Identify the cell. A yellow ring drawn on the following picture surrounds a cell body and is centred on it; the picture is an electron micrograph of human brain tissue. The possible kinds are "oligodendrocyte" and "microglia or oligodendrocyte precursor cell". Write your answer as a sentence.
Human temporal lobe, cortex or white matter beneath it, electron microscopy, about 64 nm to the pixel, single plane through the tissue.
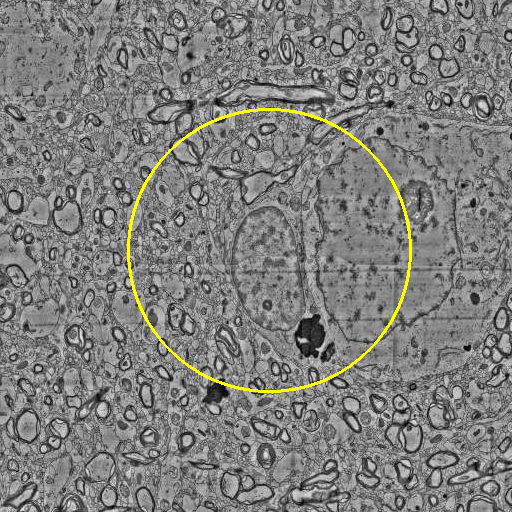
The cell identified by the ring is an oligodendrocyte.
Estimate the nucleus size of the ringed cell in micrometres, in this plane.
About 8 by 5 micrometres; in this plane the nucleus is clearly longer than it is wide.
